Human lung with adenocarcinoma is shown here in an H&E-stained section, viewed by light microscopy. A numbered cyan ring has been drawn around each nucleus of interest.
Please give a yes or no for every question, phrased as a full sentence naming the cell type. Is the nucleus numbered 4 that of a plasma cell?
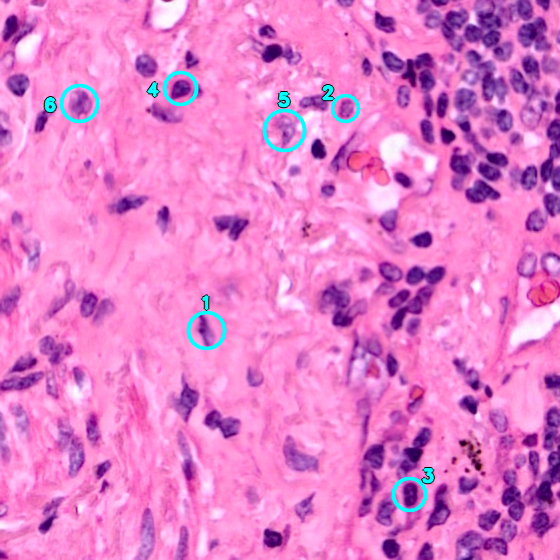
No, the cell carrying number 4 is a mast cell rather than a plasma cell.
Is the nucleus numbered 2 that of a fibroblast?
No, it's not a fibroblast at number 2; that cell is a mast cell.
